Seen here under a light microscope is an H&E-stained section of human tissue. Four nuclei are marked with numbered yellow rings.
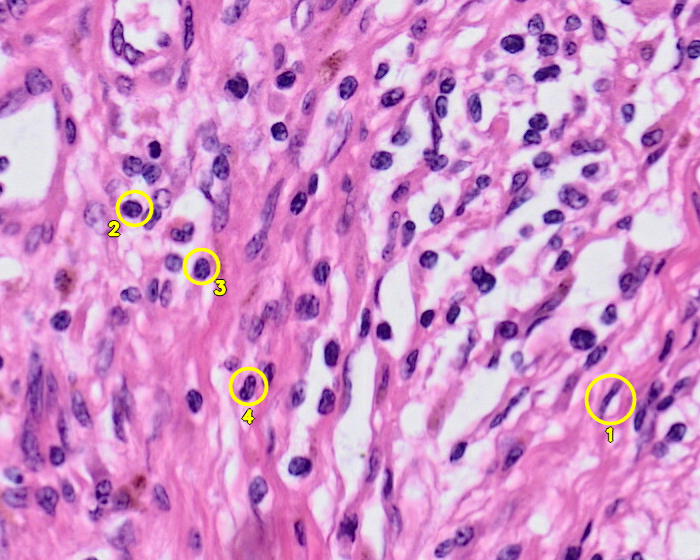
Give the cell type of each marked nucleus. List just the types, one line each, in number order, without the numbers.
fibroblast or myofibroblast
lymphocyte
lymphocyte
lymphocyte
